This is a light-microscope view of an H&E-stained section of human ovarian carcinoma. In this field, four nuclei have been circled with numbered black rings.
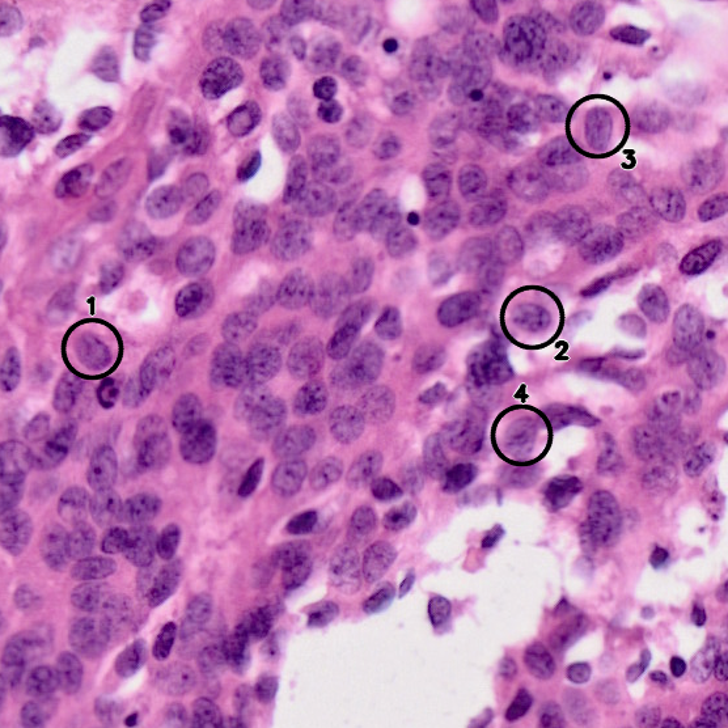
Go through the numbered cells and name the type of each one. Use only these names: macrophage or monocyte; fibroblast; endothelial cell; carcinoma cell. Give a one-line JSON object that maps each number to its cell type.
{"1": "carcinoma cell", "2": "macrophage or monocyte", "3": "carcinoma cell", "4": "carcinoma cell"}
